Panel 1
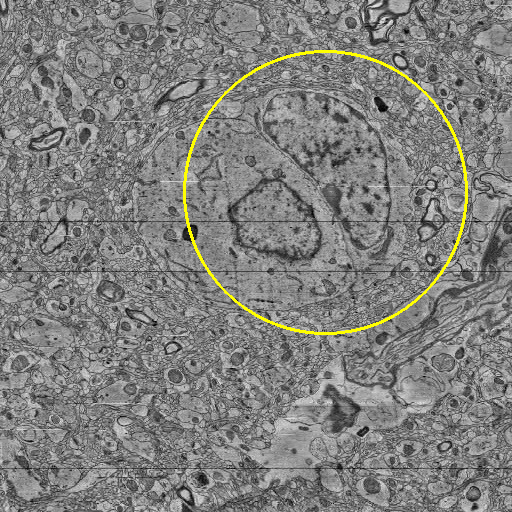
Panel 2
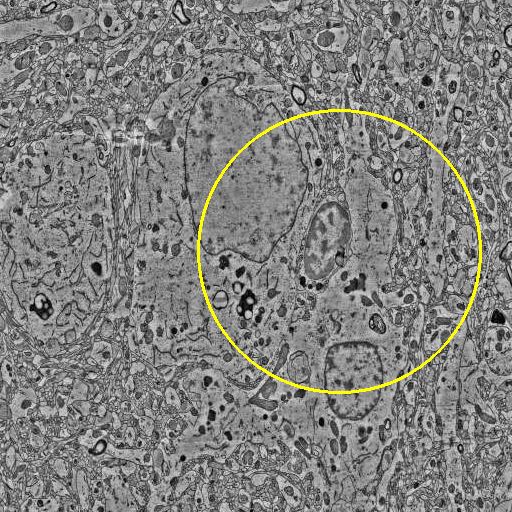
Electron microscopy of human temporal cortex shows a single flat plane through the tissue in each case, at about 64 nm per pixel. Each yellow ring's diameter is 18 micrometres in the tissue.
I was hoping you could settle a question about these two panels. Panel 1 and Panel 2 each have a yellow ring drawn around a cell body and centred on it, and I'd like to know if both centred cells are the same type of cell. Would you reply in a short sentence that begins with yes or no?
Yes, both are the same type of cell.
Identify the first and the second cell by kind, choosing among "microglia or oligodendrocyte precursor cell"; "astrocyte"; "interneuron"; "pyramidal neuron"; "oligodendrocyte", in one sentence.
In each picture the ringed cell is a microglial cell or oligodendrocyte precursor cell.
